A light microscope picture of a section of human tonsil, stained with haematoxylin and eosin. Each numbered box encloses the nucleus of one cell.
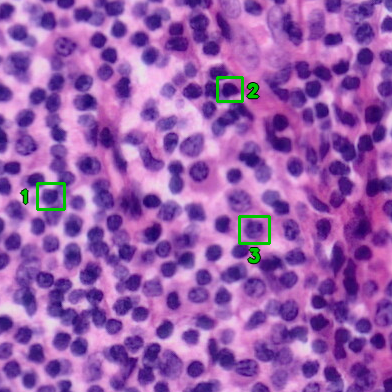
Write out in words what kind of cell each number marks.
Cell 1 is a small lymphocyte, cell 2 is a small lymphocyte and cell 3 is a plasma cell.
